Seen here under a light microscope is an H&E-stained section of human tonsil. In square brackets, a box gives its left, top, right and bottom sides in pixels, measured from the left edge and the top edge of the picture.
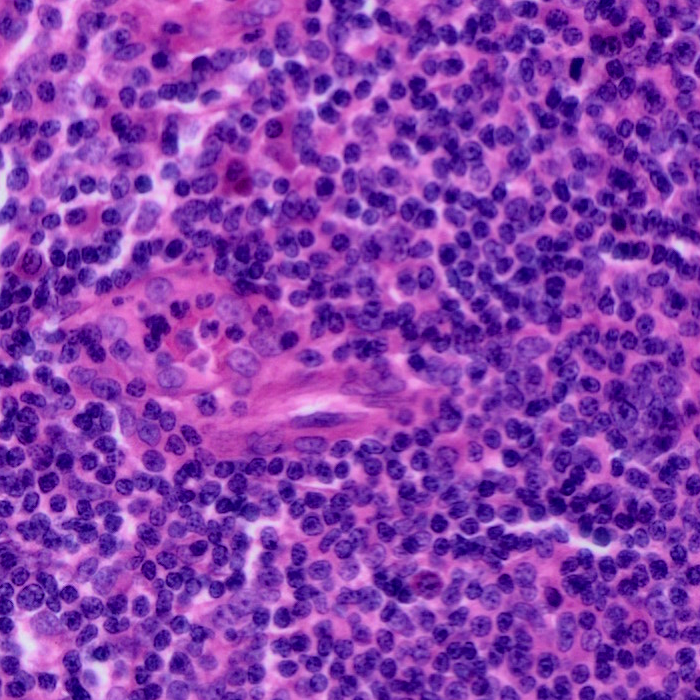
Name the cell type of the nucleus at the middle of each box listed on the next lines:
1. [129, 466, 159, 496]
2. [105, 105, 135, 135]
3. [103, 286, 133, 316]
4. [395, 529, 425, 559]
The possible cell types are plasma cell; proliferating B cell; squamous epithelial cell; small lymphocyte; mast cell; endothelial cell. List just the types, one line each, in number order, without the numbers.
small lymphocyte
plasma cell
endothelial cell
small lymphocyte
